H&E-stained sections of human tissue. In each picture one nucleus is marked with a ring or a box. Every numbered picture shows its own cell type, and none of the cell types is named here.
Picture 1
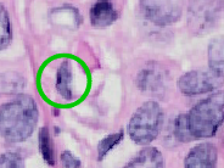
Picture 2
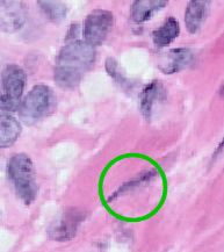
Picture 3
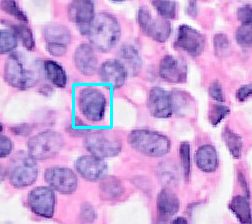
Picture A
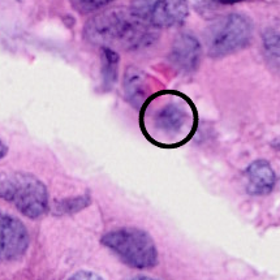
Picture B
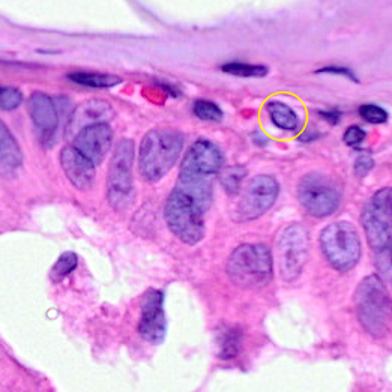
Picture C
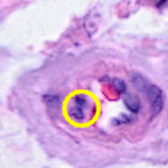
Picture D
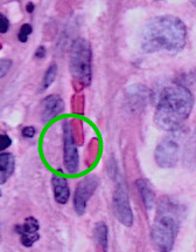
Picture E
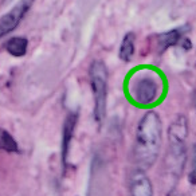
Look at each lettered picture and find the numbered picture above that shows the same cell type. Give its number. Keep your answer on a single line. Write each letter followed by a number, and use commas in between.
A 1, B 1, C 1, D 1, E 1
